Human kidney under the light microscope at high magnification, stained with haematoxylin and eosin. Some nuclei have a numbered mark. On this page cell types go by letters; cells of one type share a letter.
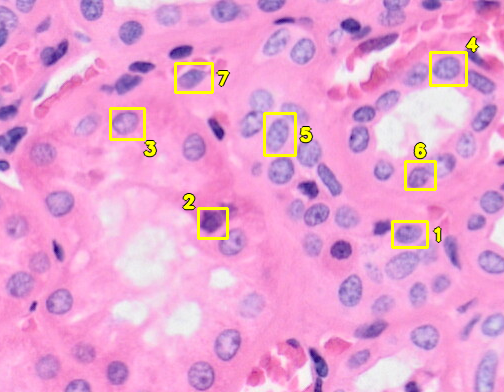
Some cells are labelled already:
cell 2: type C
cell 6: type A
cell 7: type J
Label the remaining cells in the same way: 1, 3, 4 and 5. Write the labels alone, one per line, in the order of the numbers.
type A
type C
type A
type A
